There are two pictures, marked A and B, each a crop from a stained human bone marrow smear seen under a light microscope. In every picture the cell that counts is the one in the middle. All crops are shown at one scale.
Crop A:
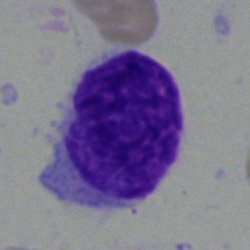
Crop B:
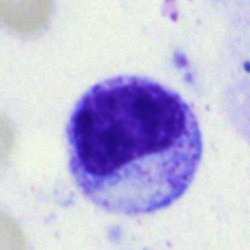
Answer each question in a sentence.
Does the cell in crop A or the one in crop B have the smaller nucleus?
The nucleus in crop B is smaller; the one in crop A has about 2 times its area.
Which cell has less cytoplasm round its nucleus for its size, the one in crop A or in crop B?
In crop A the nucleus takes up the larger part of its cell.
